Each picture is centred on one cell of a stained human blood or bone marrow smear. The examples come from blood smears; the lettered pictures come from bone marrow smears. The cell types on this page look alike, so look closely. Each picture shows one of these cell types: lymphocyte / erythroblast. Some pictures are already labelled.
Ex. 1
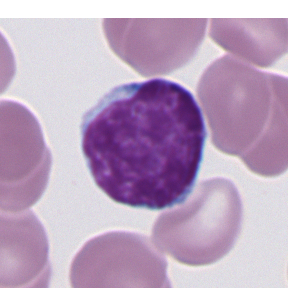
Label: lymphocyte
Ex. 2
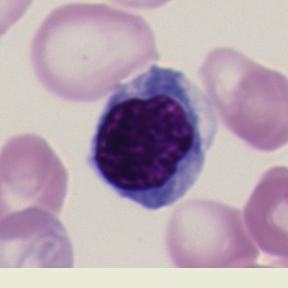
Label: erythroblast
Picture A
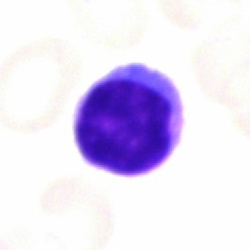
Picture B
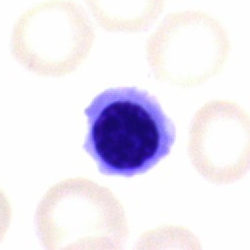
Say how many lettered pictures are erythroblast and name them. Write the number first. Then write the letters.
Count: 1 (B)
